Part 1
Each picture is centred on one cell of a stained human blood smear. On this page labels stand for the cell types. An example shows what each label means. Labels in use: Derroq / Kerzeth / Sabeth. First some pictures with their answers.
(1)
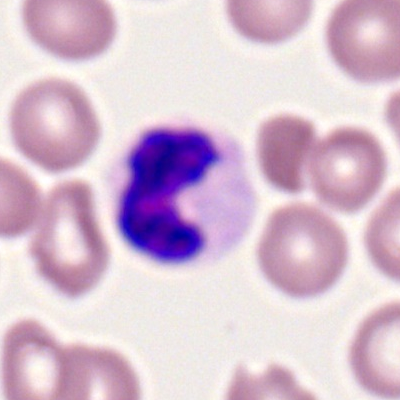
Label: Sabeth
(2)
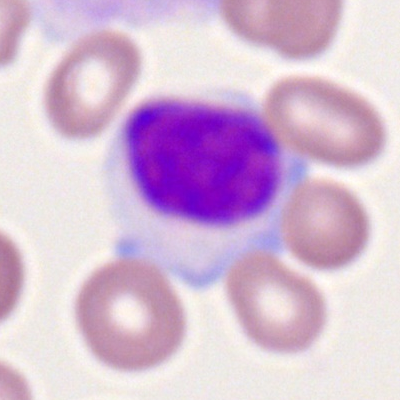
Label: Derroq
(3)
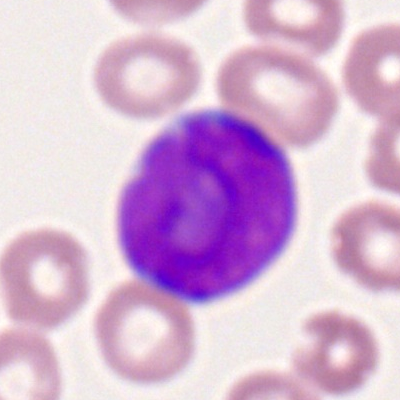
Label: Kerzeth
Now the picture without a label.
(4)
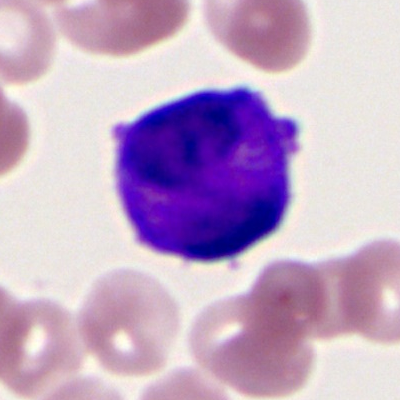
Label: Kerzeth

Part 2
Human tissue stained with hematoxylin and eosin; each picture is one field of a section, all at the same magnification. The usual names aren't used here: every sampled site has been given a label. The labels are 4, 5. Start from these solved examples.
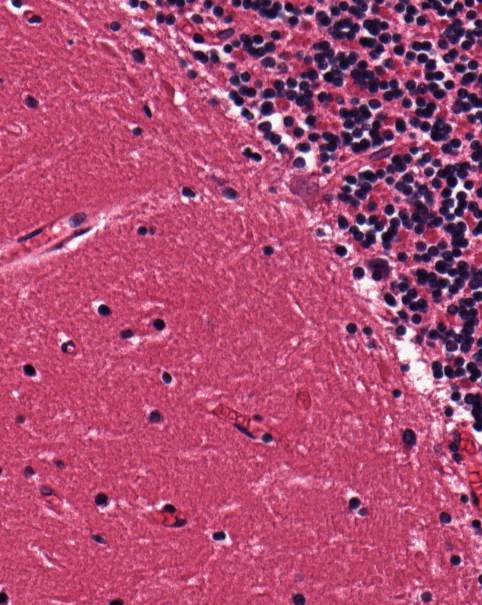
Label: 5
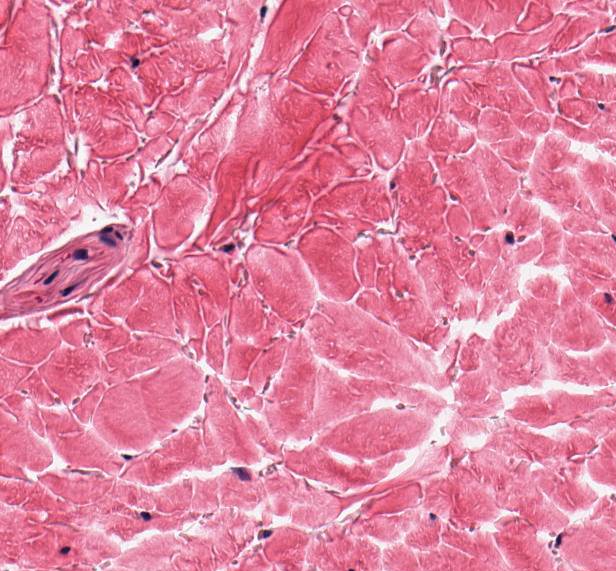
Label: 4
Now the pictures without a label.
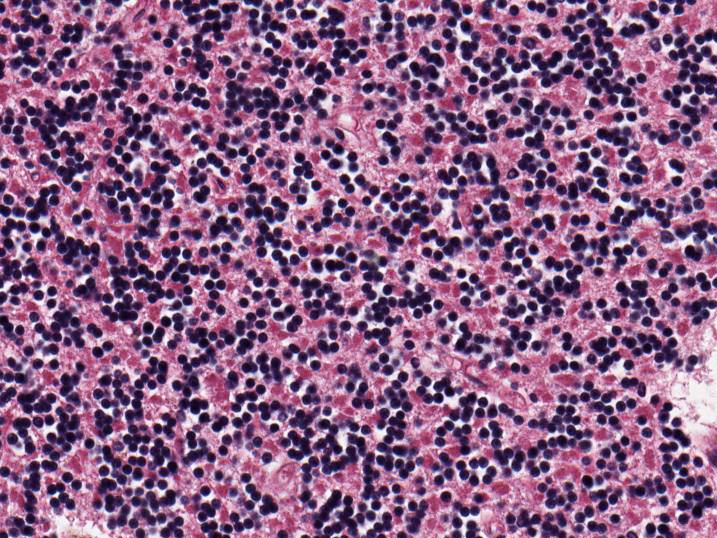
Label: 5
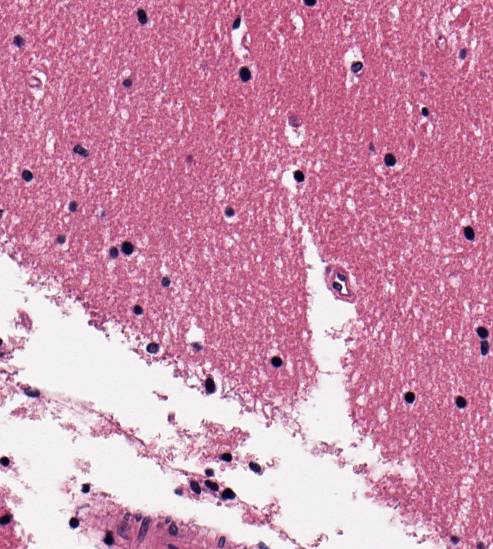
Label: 5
